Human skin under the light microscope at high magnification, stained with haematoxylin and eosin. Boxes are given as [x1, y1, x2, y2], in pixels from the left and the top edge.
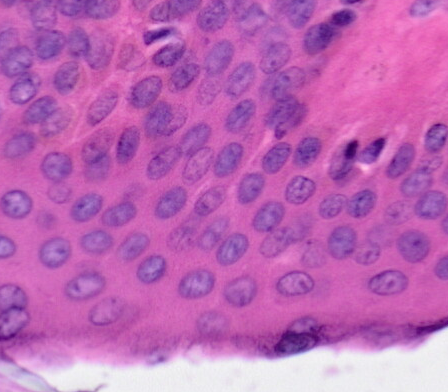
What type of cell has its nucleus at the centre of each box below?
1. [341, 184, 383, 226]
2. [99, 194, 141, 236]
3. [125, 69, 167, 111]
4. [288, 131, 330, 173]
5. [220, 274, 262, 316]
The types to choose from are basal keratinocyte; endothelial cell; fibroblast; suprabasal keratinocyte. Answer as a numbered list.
1. suprabasal keratinocyte
2. suprabasal keratinocyte
3. basal keratinocyte
4. basal keratinocyte
5. suprabasal keratinocyte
